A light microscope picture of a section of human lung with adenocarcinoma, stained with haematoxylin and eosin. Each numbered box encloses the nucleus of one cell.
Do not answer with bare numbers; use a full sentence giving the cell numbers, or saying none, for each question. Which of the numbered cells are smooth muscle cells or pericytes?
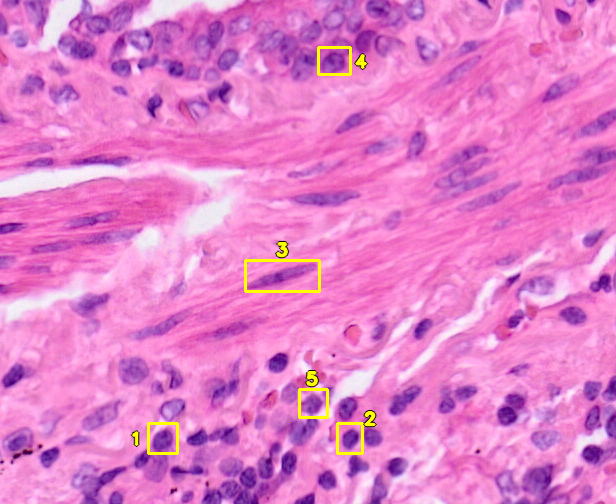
Only one choice fits: cell 3 is a smooth muscle cell or pericyte, and no other.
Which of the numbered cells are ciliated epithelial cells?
Cell 4 is a ciliated epithelial cell; no further numbered cell is.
